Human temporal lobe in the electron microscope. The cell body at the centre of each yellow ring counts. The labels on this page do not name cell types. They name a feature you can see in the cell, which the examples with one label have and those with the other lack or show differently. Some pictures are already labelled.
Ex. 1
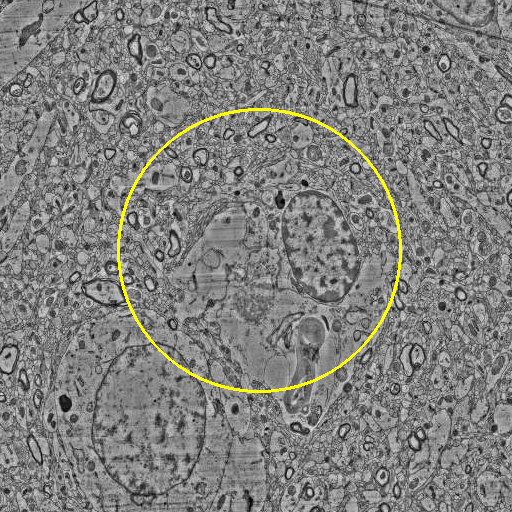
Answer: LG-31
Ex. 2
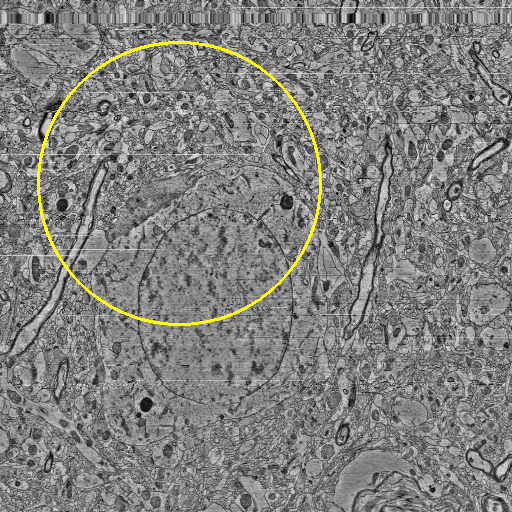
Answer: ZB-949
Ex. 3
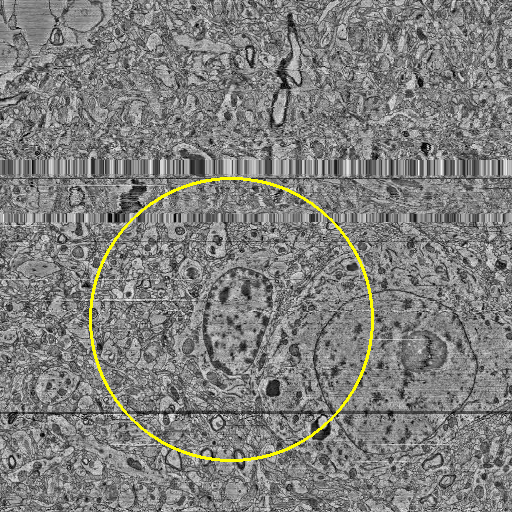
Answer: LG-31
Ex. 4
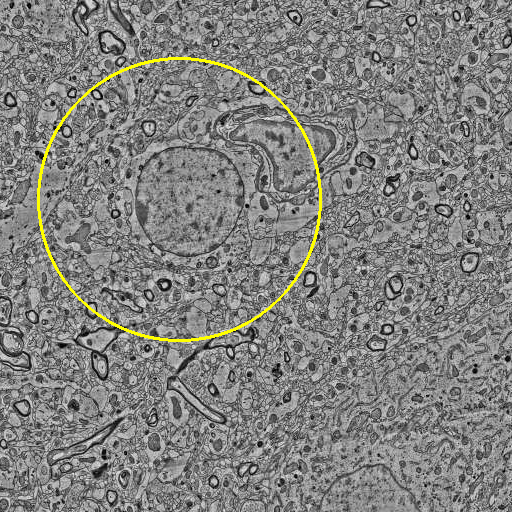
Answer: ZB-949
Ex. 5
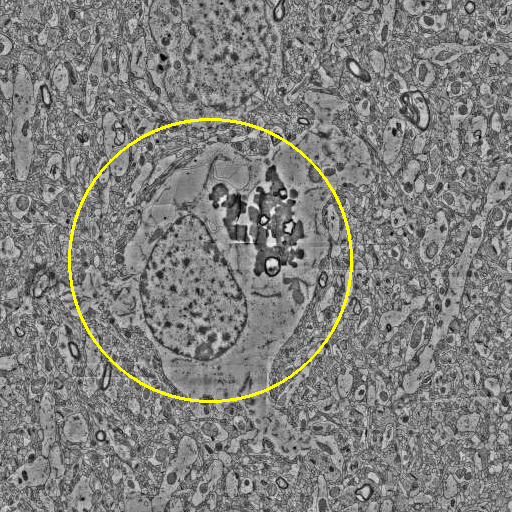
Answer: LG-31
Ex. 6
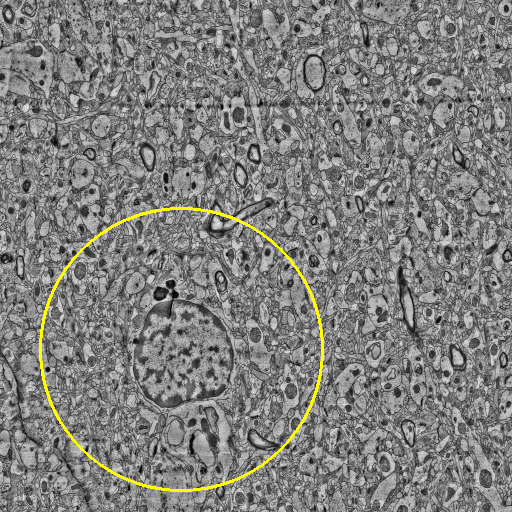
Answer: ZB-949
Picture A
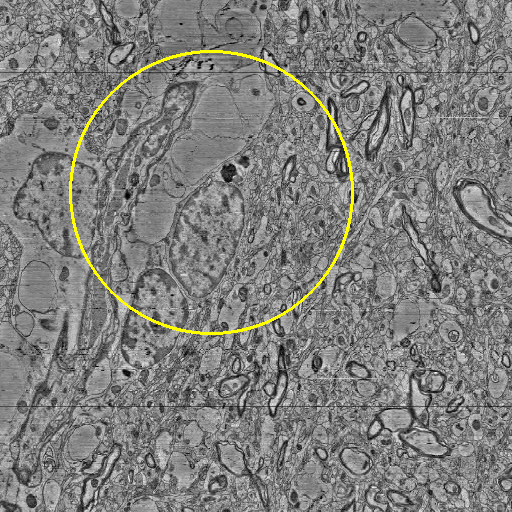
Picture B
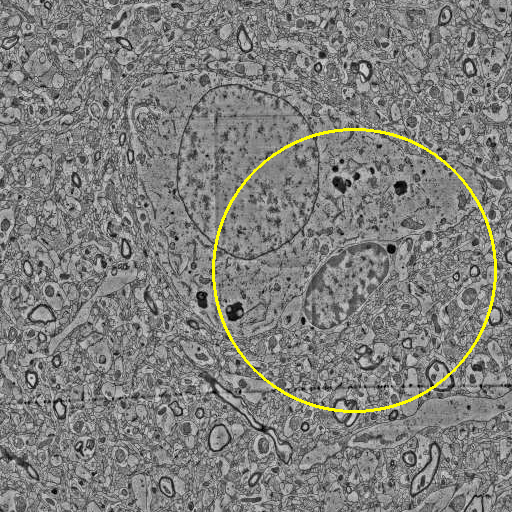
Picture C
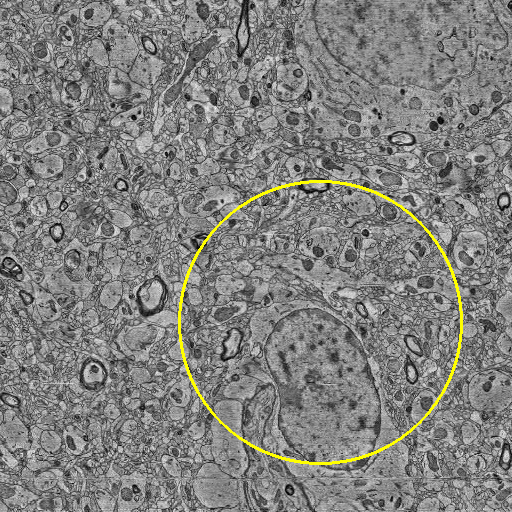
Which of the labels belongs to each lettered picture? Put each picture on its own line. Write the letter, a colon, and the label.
A: LG-31
B: LG-31
C: LG-31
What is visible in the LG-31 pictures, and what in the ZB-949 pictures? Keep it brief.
Seen in LG-31: clearly elongated nuclei; seen in ZB-949: round or nearly round nuclei.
